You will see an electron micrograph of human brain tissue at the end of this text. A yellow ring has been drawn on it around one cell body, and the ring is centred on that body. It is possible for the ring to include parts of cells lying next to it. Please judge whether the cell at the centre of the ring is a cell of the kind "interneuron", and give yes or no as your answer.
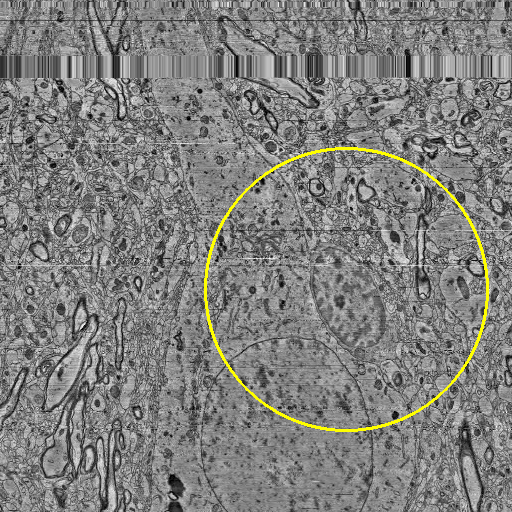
no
